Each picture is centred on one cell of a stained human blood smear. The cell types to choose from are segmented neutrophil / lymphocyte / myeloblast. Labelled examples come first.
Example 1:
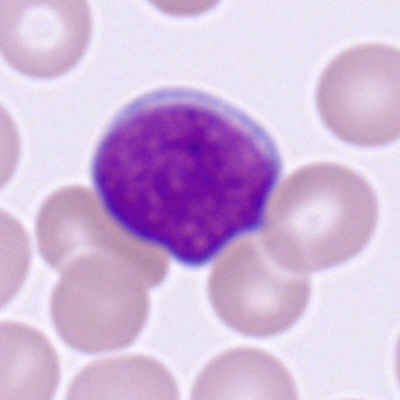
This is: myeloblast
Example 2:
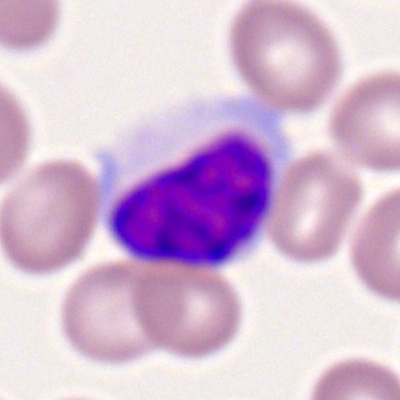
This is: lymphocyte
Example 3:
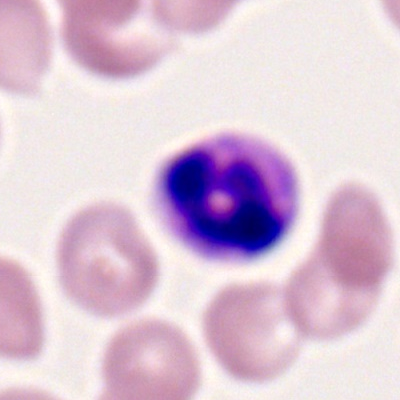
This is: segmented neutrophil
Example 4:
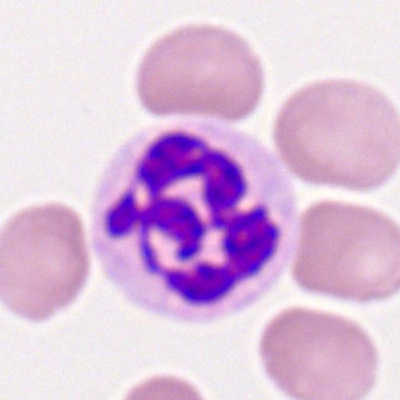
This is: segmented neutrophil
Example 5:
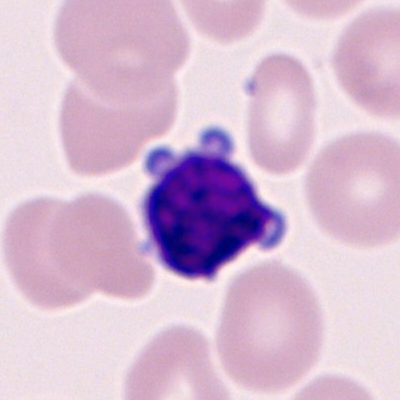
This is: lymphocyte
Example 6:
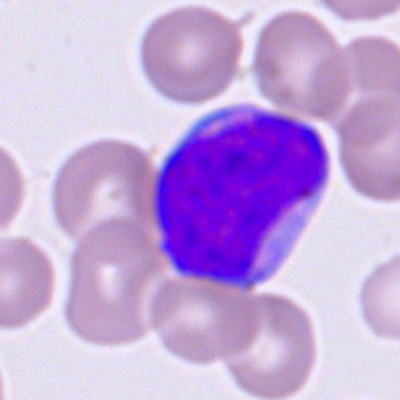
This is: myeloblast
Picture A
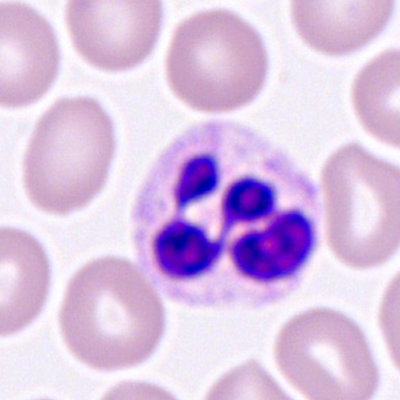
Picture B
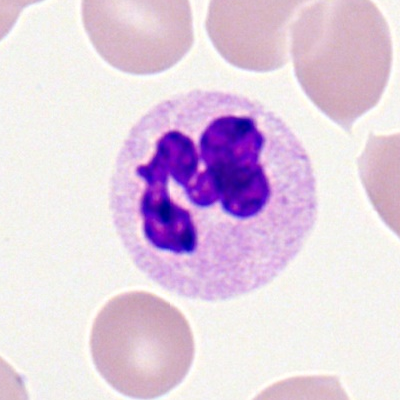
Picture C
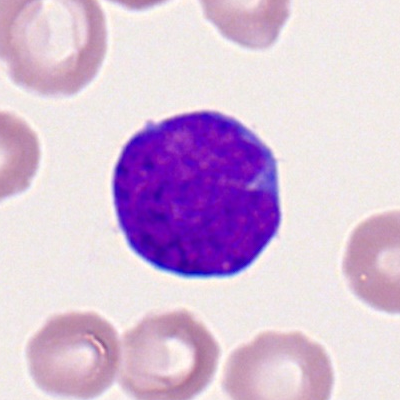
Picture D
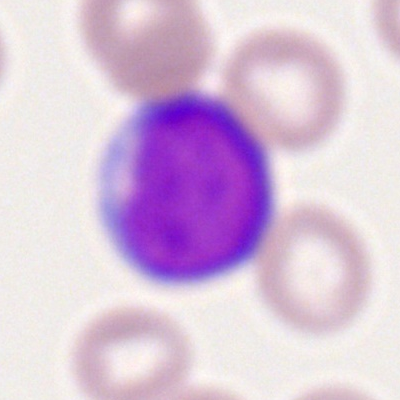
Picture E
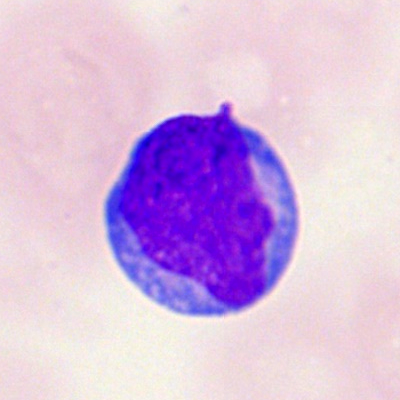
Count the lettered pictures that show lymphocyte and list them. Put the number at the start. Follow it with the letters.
0, none of them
